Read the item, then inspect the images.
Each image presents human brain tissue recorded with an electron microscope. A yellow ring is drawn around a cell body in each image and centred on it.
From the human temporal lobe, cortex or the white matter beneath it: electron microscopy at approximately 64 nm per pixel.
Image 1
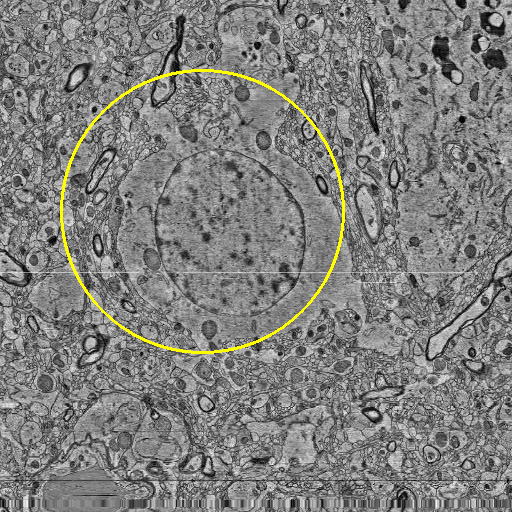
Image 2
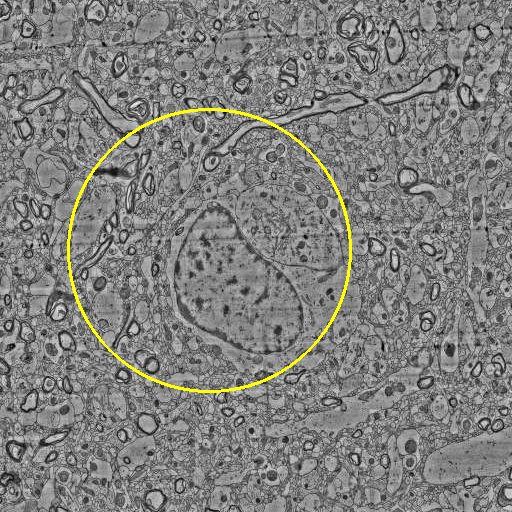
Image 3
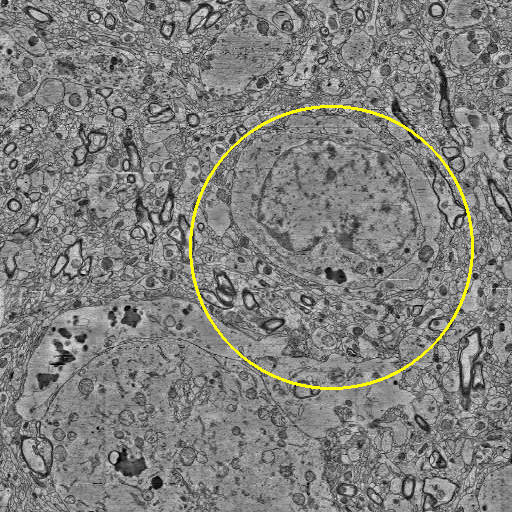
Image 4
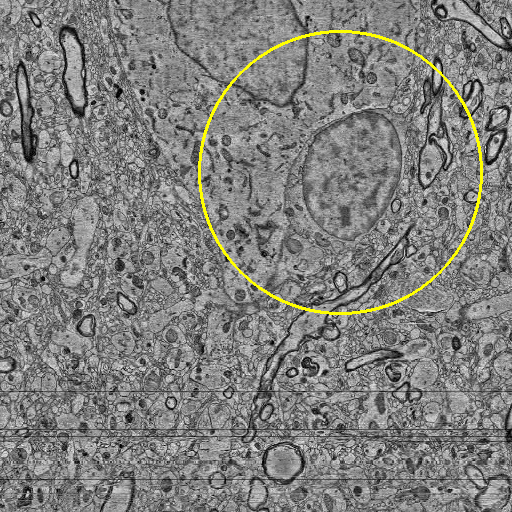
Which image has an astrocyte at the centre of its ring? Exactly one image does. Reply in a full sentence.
The ring in Image 1 is centred on it.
